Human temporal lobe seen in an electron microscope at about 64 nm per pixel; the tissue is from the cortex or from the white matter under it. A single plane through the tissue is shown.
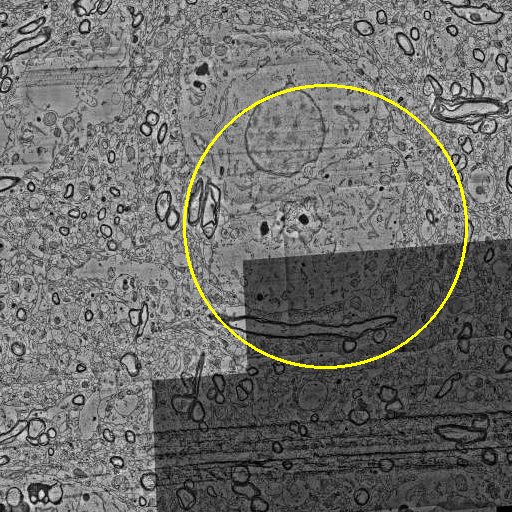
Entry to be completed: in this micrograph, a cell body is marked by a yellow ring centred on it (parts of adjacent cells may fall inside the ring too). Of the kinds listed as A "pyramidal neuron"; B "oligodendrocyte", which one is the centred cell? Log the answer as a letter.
A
